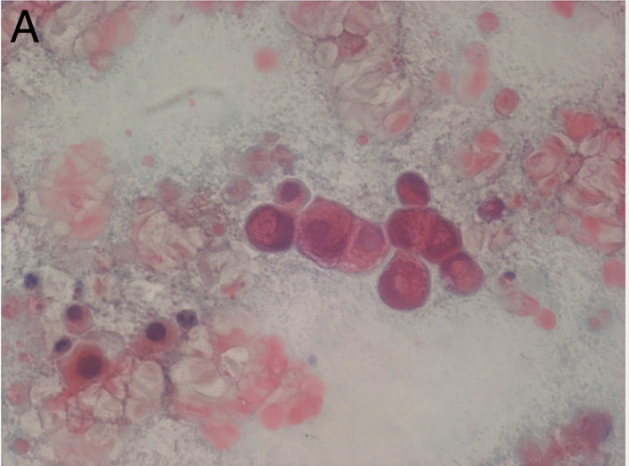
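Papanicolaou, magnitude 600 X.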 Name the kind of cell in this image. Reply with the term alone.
Neoplastic cells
